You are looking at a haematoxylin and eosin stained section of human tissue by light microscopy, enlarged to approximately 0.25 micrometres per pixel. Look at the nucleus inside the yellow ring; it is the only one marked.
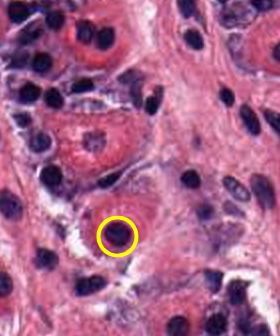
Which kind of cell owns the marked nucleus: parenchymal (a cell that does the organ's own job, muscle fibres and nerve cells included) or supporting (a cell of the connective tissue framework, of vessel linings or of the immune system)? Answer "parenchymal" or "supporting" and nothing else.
parenchymal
